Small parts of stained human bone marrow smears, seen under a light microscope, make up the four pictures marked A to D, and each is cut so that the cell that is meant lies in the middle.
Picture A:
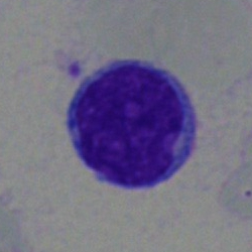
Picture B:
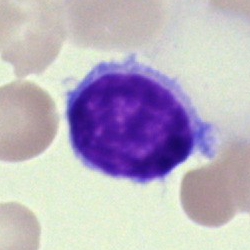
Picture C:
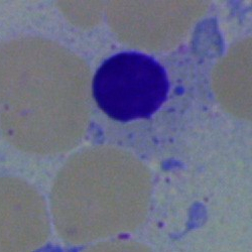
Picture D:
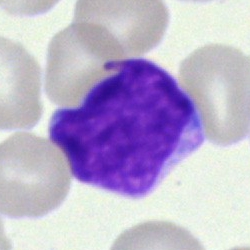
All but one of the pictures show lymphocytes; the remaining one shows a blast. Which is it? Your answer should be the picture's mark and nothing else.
D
